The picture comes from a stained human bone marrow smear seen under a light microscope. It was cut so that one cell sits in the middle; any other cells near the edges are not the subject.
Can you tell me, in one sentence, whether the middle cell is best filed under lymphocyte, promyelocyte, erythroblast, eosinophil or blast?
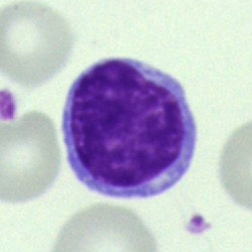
At the crop's centre, the cell is a lymphocyte.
